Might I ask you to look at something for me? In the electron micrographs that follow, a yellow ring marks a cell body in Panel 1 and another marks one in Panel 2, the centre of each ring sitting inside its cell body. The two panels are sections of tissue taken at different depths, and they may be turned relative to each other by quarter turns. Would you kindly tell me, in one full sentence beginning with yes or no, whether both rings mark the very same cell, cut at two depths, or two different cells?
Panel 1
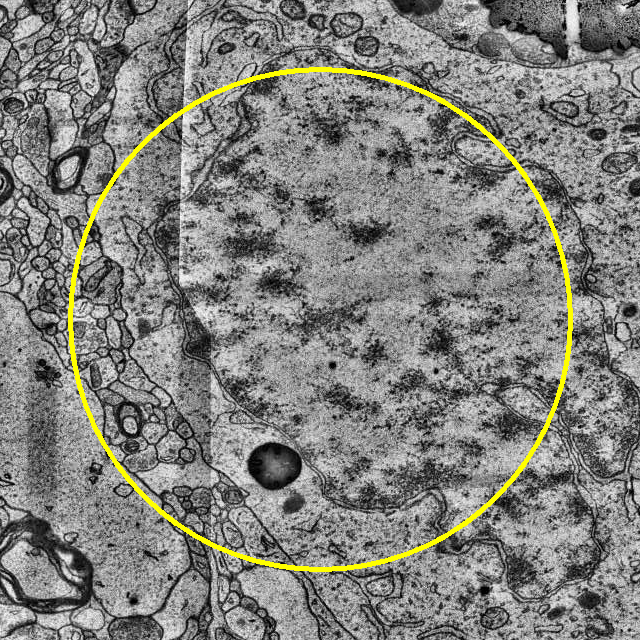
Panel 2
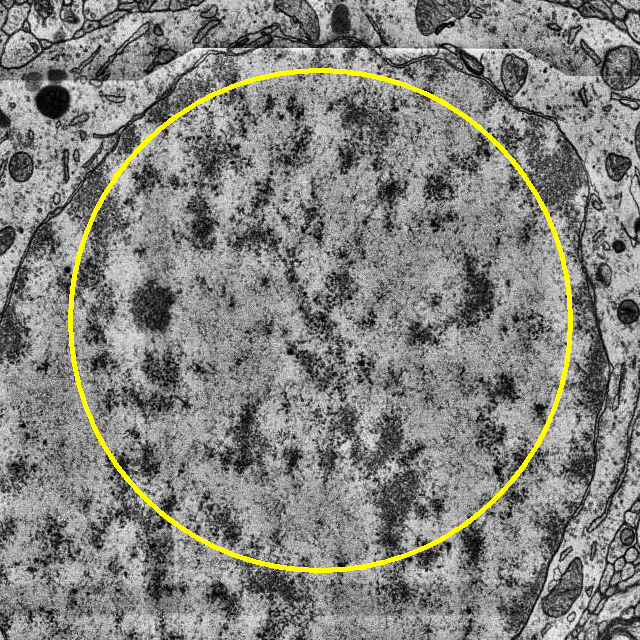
No, two distinct cells are each enclosed by a yellow ring.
